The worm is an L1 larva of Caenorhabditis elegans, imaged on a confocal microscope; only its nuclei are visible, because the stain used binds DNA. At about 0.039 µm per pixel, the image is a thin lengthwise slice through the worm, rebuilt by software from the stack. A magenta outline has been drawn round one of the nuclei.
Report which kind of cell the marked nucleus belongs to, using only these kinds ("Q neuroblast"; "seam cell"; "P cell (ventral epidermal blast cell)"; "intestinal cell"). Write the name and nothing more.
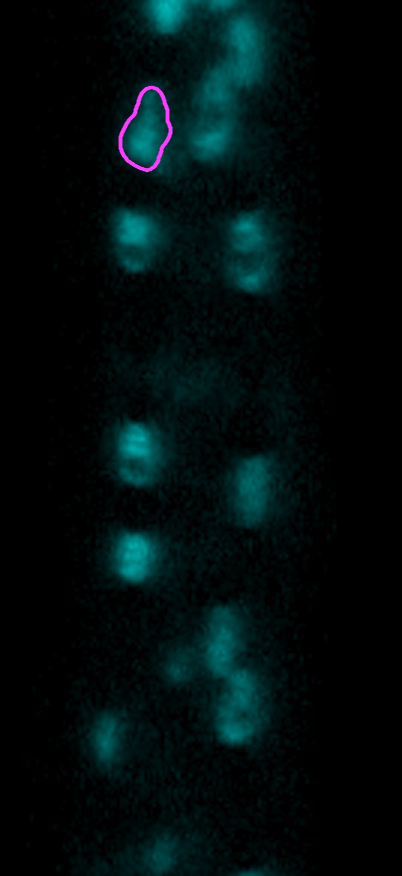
P cell (ventral epidermal blast cell)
